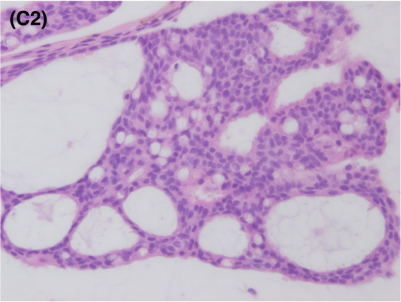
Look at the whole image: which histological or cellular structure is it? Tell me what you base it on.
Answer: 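One cell cluster contains many round lumina of varying size. The lumina share walls with one another rather than standing as separate glands. Pale material fills several of the lumina.
Hence: fused glandular ducts.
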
